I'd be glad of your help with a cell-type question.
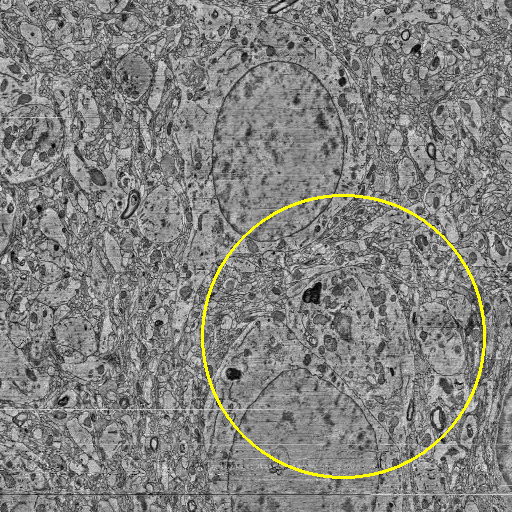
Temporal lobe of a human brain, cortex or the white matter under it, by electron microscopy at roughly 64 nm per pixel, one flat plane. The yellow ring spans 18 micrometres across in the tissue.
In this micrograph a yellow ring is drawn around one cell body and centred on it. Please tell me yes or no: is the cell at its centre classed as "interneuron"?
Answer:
yes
